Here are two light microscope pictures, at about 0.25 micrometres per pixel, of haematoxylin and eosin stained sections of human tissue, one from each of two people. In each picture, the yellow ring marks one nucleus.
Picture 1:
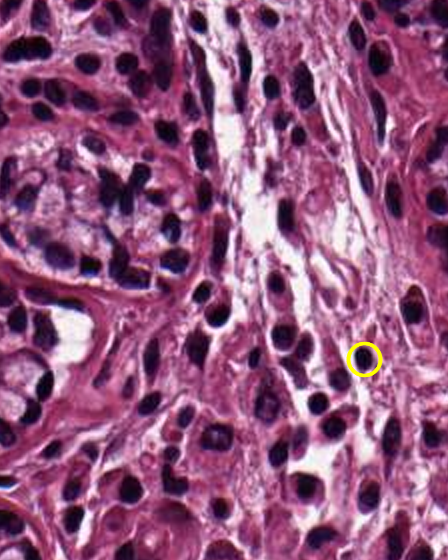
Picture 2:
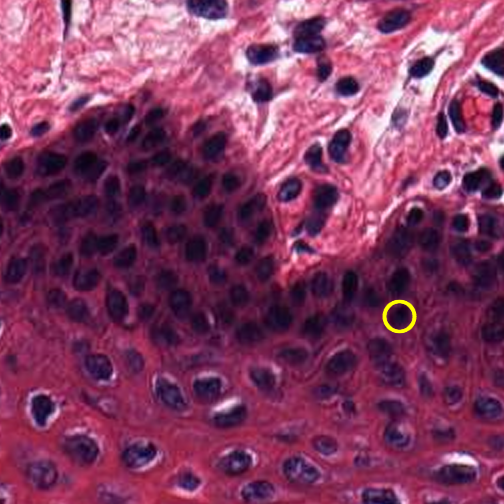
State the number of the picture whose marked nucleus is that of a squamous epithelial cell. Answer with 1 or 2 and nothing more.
2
